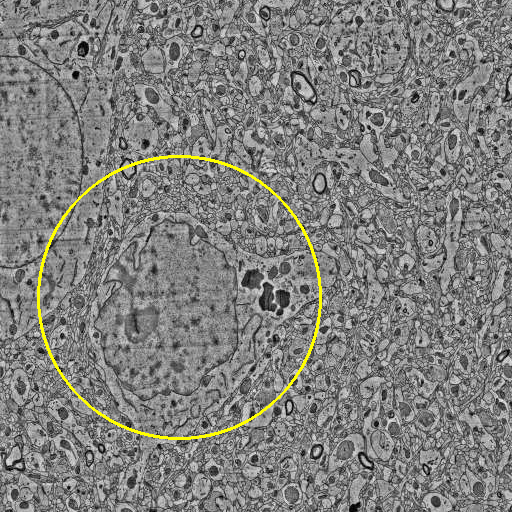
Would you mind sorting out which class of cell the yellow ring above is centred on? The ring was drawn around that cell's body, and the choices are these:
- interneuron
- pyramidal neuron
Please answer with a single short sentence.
This is the cell body of an interneuron.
